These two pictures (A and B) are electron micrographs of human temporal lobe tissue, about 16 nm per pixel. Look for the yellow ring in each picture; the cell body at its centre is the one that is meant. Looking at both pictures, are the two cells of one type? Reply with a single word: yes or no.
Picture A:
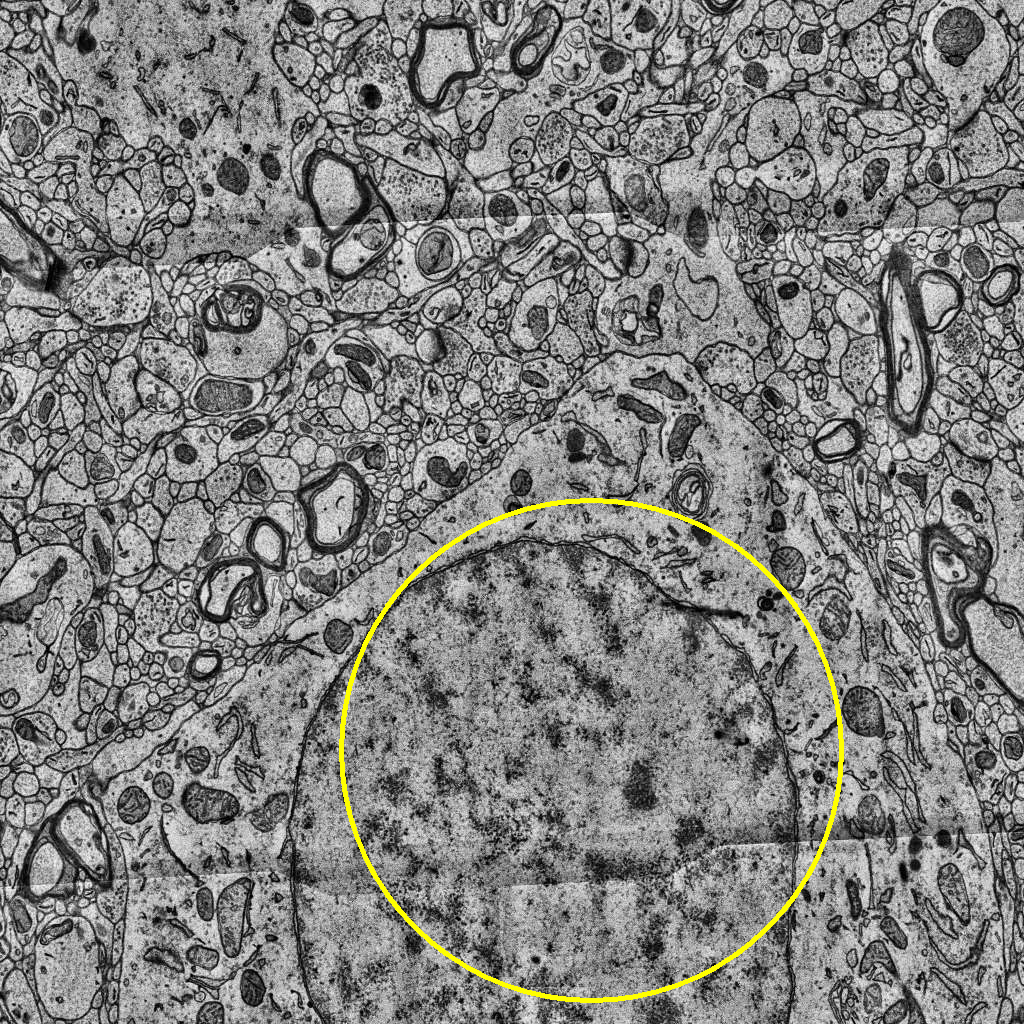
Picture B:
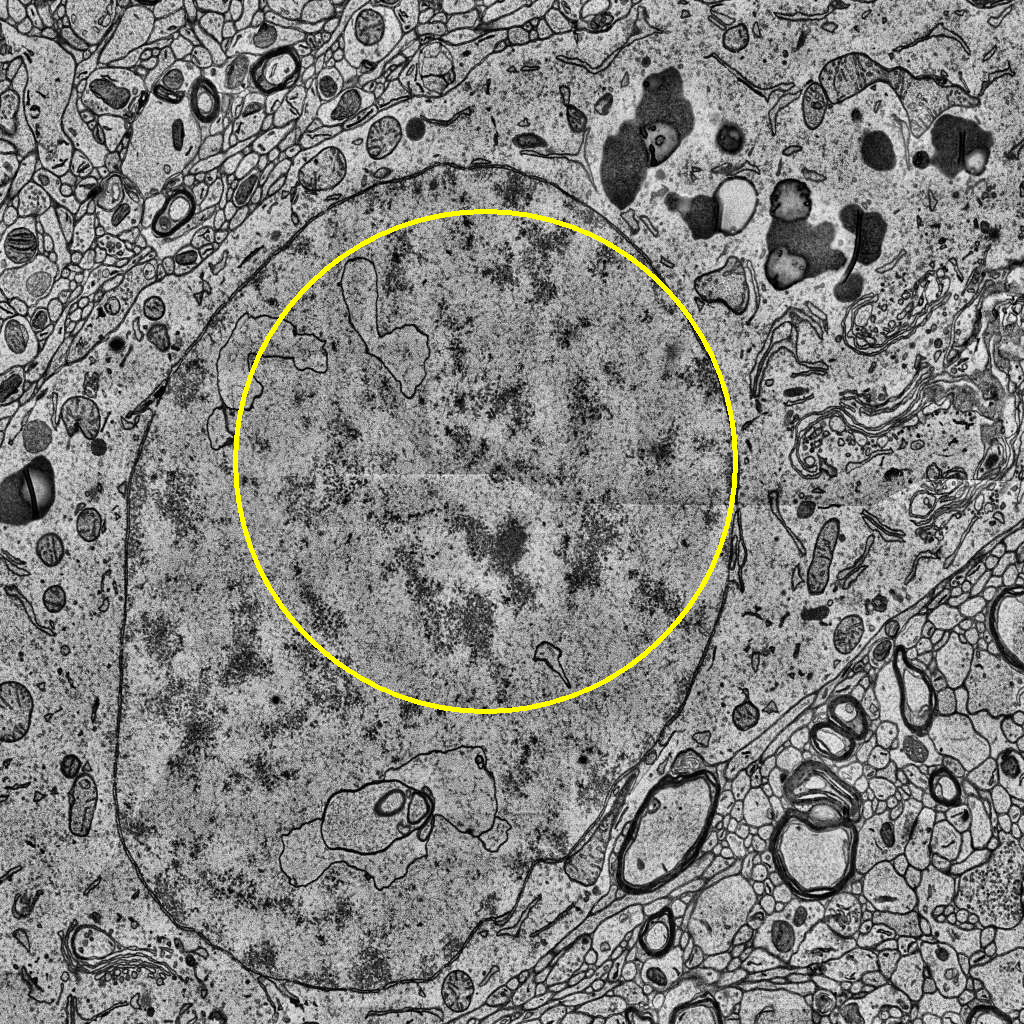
no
